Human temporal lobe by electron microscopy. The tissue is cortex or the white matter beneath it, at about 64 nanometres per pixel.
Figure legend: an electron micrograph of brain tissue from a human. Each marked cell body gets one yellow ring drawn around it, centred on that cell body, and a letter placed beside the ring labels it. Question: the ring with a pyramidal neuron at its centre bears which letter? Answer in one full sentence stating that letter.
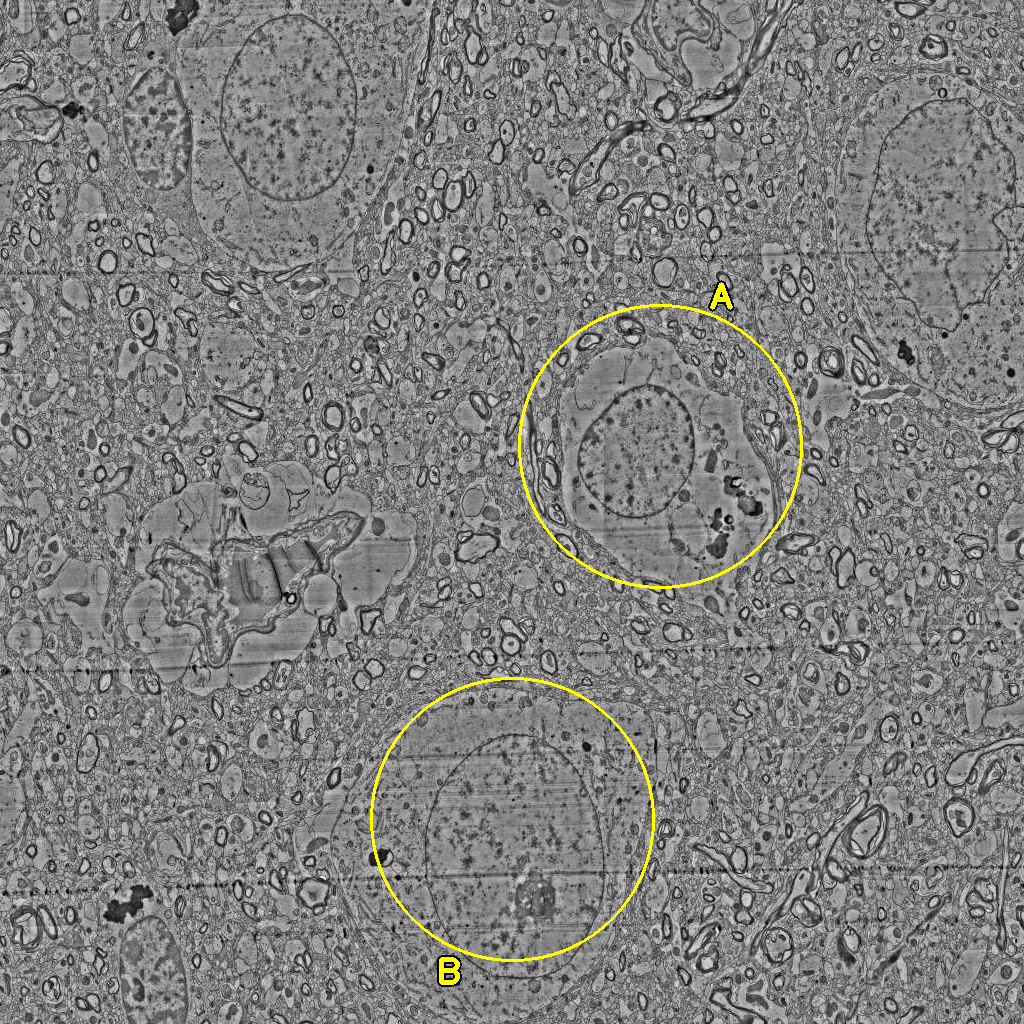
Labelled B is the ring whose centre holds the cell asked for in this picture.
